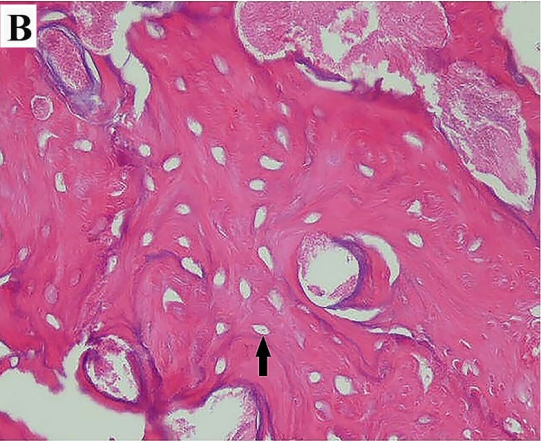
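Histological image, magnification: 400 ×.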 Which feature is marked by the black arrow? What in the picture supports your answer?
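Empty lacunae. The arrow points to a small oval clear space within pink bone matrix. The space holds no stained nucleus. Many similar clear spaces are scattered through the matrix.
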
